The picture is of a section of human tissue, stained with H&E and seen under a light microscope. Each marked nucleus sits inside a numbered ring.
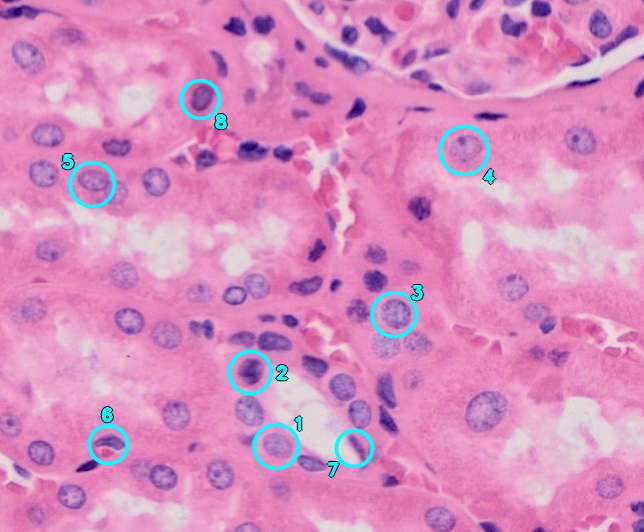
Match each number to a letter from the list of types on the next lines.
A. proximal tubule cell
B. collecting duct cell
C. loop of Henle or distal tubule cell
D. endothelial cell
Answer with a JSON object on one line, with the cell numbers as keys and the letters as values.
{"1": "B", "2": "B", "3": "C", "4": "A", "5": "A", "6": "D", "7": "B", "8": "A"}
